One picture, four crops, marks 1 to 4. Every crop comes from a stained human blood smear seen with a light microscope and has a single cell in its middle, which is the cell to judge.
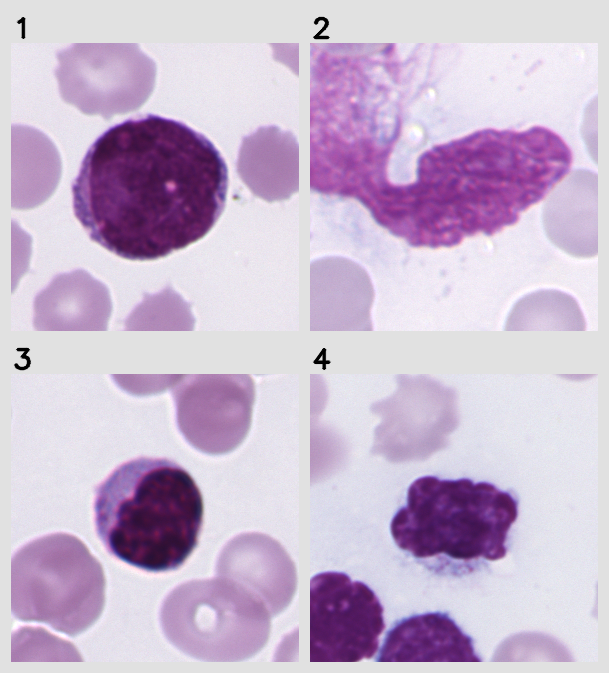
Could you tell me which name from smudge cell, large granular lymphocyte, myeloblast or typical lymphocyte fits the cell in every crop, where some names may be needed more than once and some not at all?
1: myeloblast
2: smudge cell
3: typical lymphocyte
4: typical lymphocyte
